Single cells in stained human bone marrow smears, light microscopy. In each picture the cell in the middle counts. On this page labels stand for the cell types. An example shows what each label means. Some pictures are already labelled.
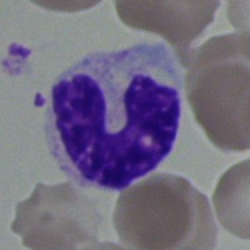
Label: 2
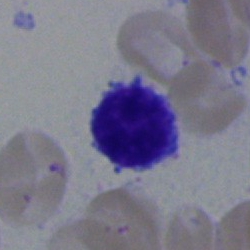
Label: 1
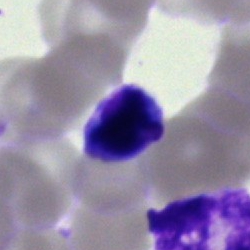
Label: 1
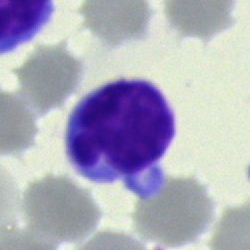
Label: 1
